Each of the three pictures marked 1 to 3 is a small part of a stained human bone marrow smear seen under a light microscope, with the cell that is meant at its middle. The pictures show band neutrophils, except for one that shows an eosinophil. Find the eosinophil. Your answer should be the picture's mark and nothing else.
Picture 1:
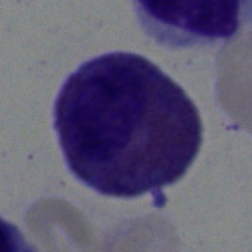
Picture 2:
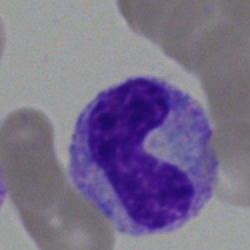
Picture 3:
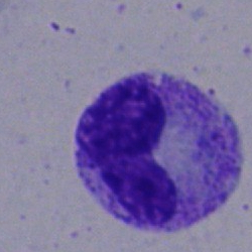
1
